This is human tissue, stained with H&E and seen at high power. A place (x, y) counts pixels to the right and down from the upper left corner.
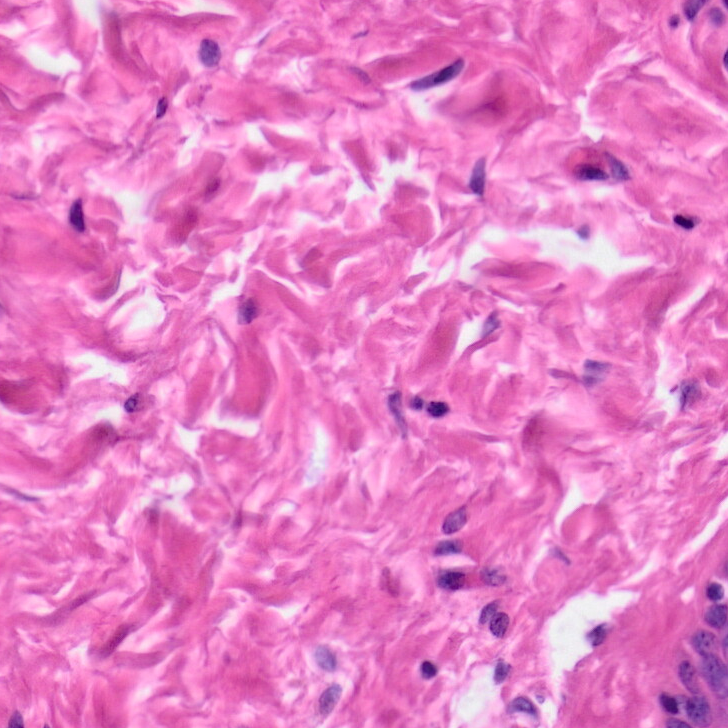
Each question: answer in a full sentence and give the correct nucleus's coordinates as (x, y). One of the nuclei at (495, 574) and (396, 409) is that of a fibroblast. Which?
The one at (396, 409) is the nucleus belonging to a fibroblast, not the other one.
